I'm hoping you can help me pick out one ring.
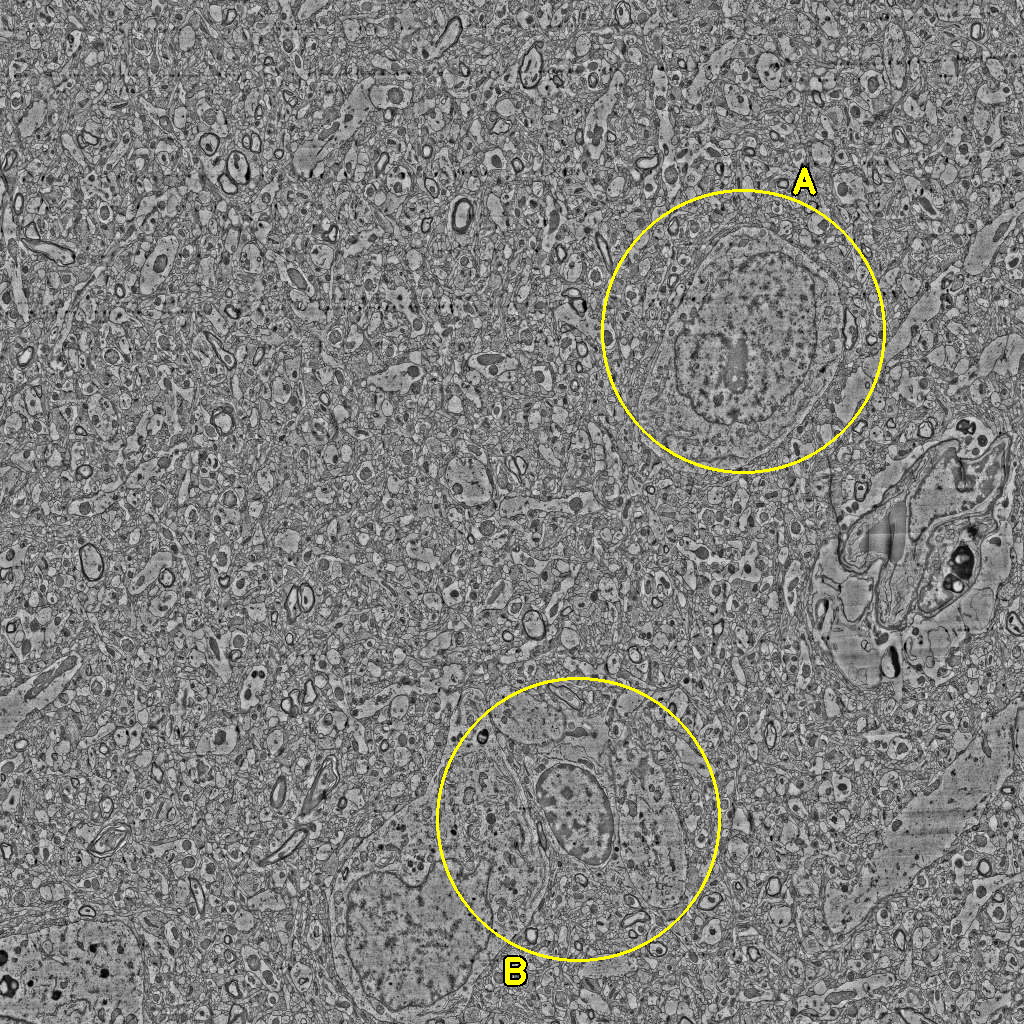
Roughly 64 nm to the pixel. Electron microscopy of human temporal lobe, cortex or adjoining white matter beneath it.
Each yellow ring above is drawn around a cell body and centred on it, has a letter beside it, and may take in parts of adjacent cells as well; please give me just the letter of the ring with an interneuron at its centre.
A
